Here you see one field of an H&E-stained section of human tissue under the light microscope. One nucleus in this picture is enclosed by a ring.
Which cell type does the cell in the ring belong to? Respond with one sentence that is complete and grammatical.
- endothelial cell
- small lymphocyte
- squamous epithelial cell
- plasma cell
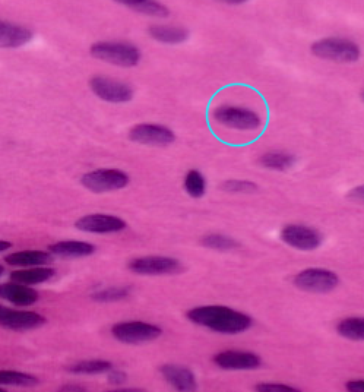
As far as its identity is concerned, the cell in the ring is a squamous epithelial cell.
